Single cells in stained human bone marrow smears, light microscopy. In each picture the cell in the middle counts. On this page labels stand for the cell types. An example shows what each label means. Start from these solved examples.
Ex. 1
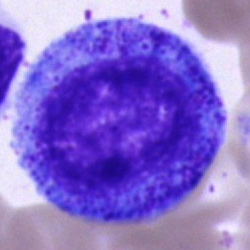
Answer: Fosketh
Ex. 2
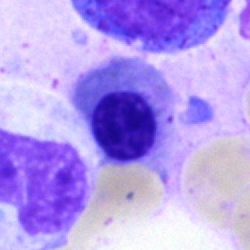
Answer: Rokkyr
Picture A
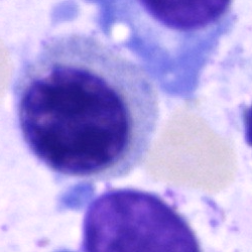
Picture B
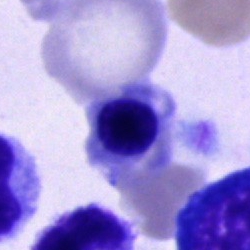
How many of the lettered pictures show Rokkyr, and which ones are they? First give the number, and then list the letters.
2: A, B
